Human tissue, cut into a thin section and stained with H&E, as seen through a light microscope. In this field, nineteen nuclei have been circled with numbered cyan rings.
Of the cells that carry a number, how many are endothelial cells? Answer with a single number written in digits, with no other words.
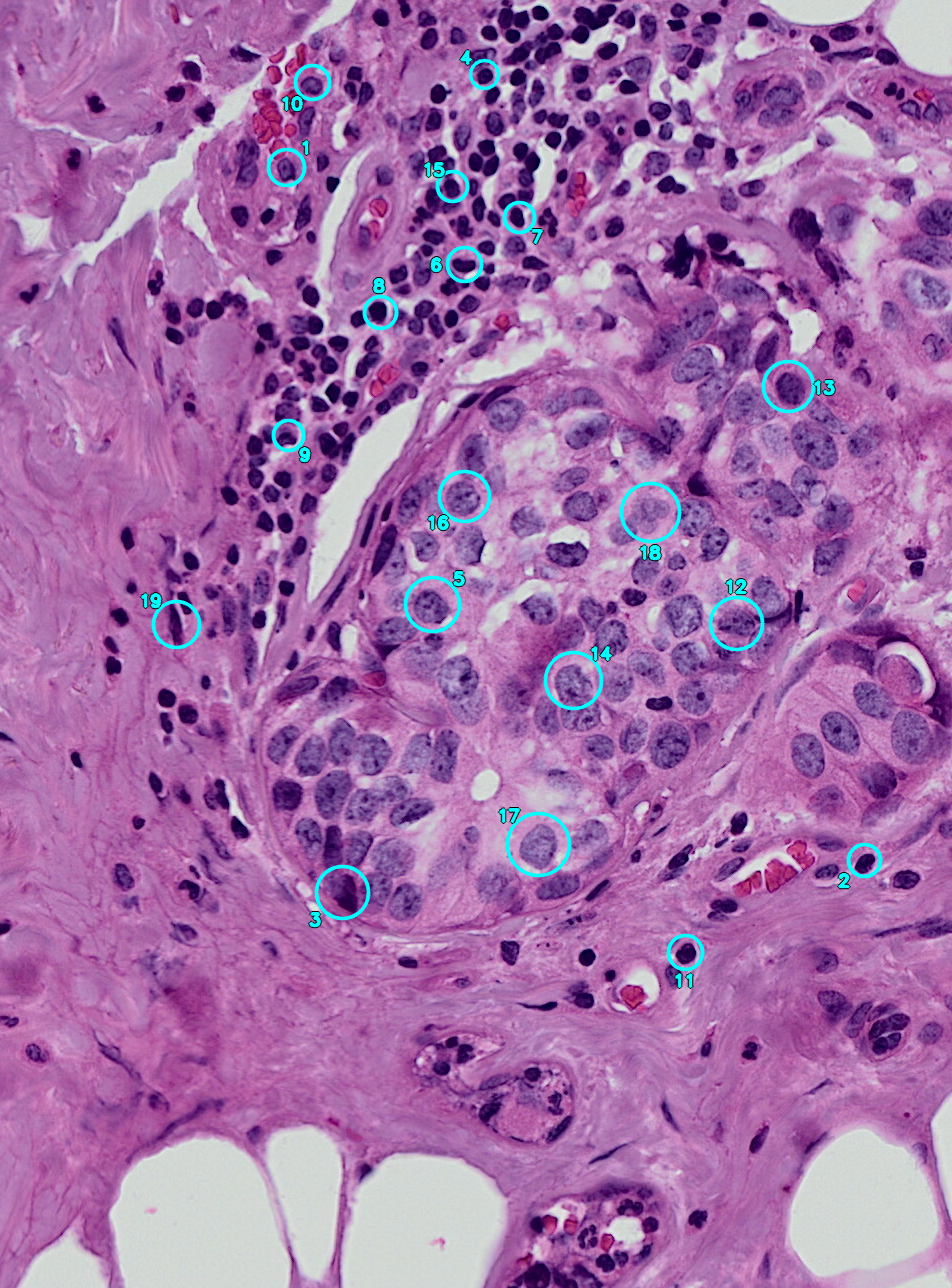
2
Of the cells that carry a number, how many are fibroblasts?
1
